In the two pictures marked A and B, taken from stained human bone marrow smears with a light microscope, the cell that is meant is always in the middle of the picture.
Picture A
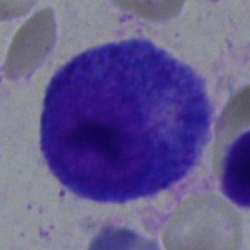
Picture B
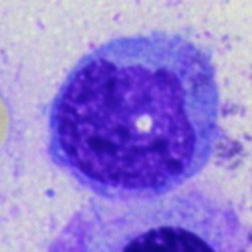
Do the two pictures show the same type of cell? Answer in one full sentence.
No. Picture A shows a promyelocyte, but picture B shows a monocyte.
